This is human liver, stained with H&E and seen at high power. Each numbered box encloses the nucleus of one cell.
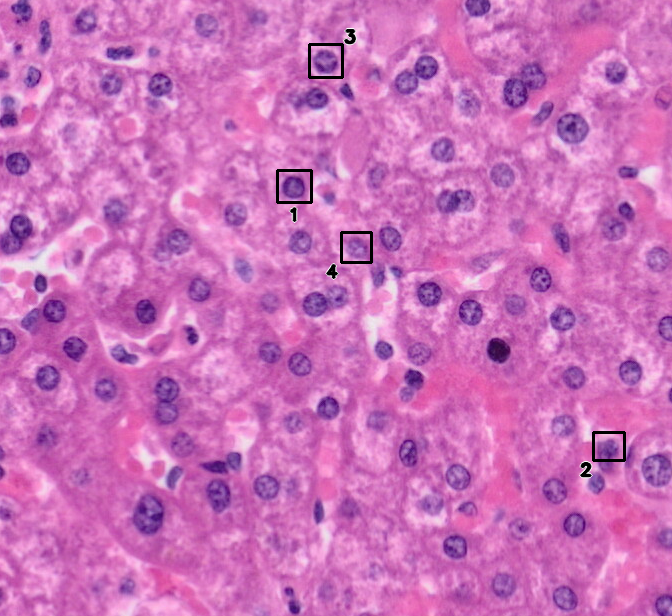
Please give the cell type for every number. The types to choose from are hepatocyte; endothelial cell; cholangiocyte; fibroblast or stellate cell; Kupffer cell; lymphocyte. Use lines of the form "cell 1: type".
cell 1: hepatocyte
cell 2: Kupffer cell
cell 3: hepatocyte
cell 4: hepatocyte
